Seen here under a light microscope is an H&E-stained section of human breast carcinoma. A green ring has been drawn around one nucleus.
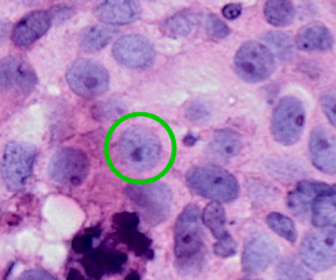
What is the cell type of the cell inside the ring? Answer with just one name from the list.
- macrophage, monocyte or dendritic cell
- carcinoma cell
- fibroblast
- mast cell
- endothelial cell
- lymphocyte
carcinoma cell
